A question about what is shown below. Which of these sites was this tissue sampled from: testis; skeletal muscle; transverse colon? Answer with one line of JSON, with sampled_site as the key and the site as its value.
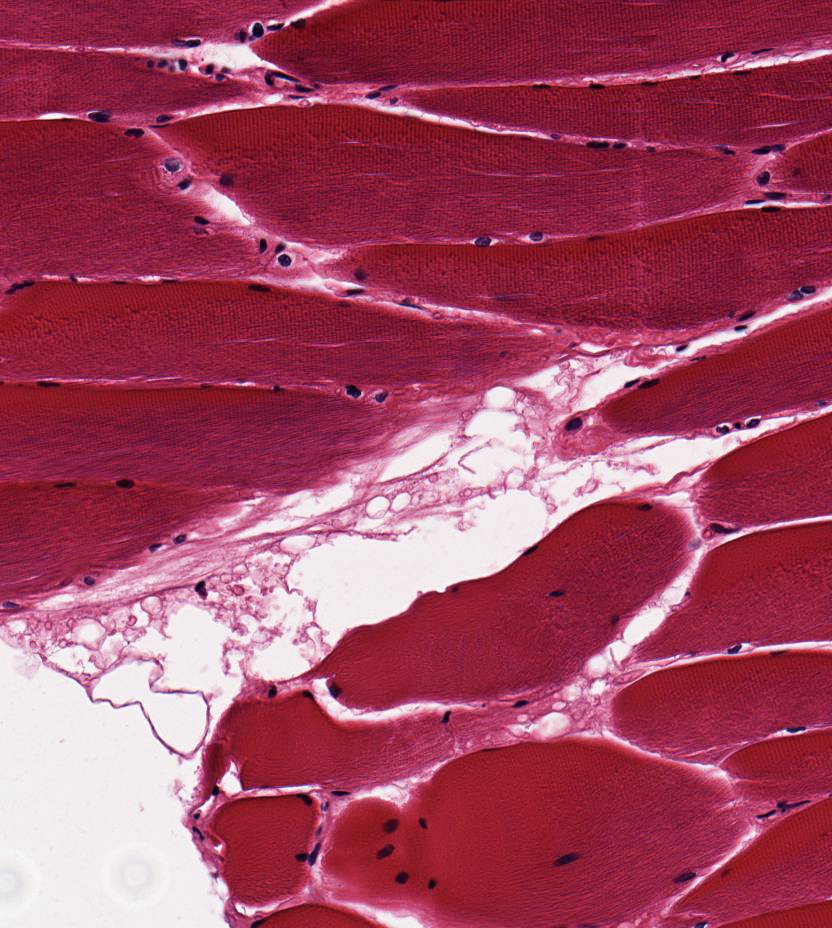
{"sampled_site": "skeletal muscle"}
